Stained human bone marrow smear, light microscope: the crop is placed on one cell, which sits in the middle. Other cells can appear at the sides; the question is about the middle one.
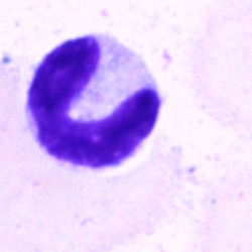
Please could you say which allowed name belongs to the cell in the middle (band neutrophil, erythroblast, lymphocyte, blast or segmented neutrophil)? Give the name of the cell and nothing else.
band neutrophil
